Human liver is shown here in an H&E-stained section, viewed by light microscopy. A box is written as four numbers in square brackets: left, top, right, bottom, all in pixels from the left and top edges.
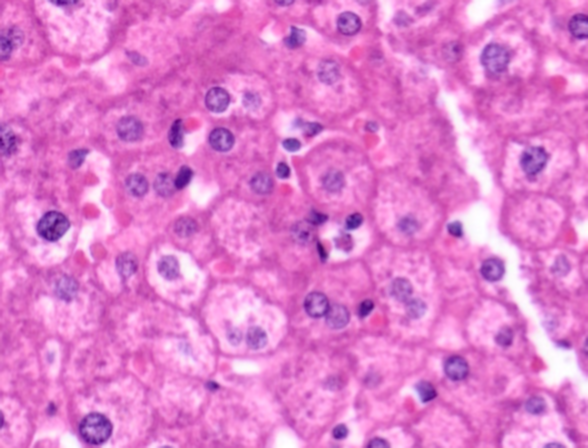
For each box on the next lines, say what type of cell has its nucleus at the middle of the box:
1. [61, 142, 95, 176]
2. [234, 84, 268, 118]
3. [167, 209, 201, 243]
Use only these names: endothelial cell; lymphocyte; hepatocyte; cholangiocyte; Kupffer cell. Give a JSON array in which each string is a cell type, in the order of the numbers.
["endothelial cell", "hepatocyte", "hepatocyte"]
